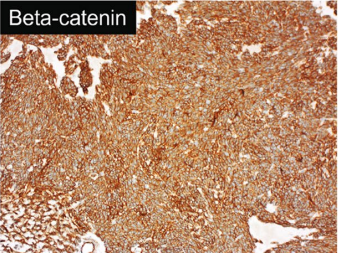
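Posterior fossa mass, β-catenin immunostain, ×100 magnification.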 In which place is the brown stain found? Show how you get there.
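Membranous. Brown stain outlines the cells diffusely. Nuclei are not distinctly darker brown than the surrounding stain.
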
